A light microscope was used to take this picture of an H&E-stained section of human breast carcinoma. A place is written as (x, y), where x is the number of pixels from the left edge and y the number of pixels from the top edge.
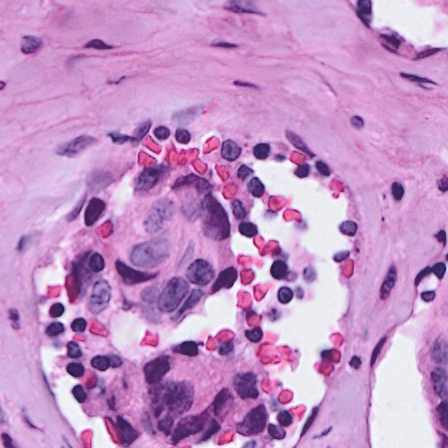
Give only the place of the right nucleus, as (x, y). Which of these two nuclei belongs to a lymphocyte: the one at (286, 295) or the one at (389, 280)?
(286, 295)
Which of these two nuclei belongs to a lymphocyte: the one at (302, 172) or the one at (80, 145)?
(302, 172)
